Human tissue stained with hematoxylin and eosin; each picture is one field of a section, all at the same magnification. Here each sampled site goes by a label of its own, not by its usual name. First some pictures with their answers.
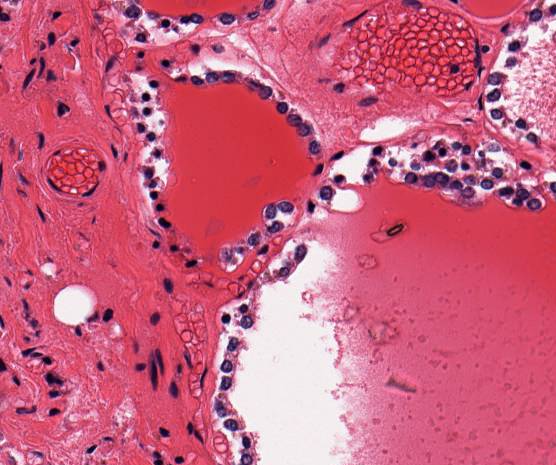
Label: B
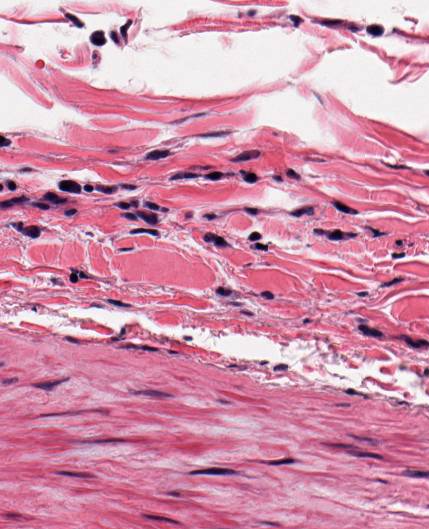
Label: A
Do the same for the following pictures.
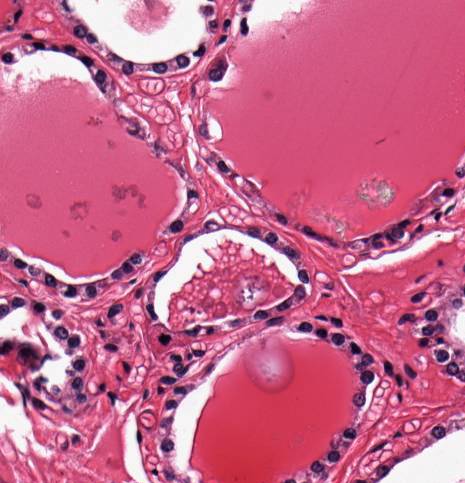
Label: B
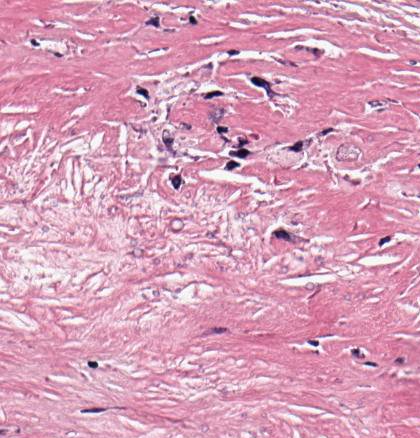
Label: A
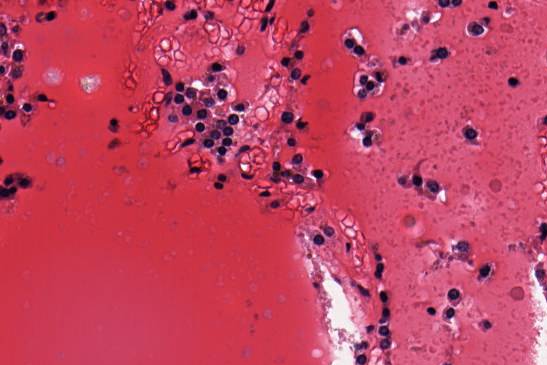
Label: B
